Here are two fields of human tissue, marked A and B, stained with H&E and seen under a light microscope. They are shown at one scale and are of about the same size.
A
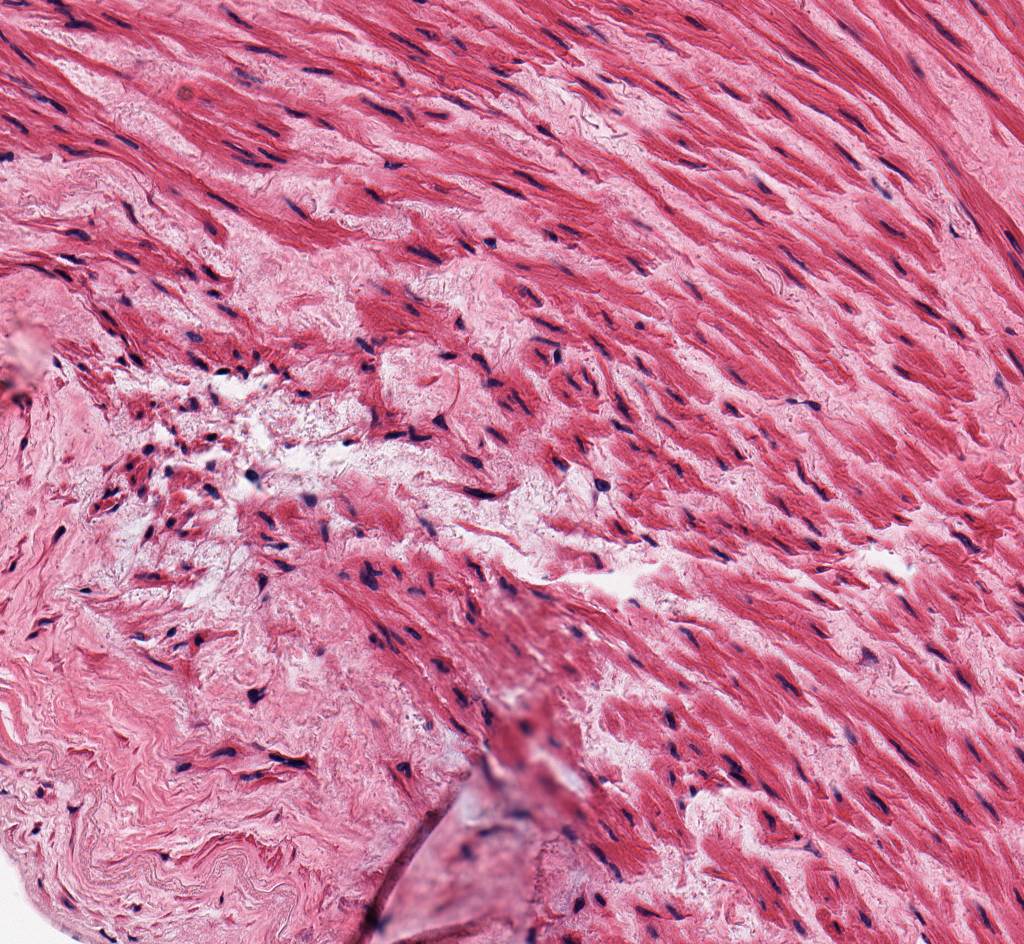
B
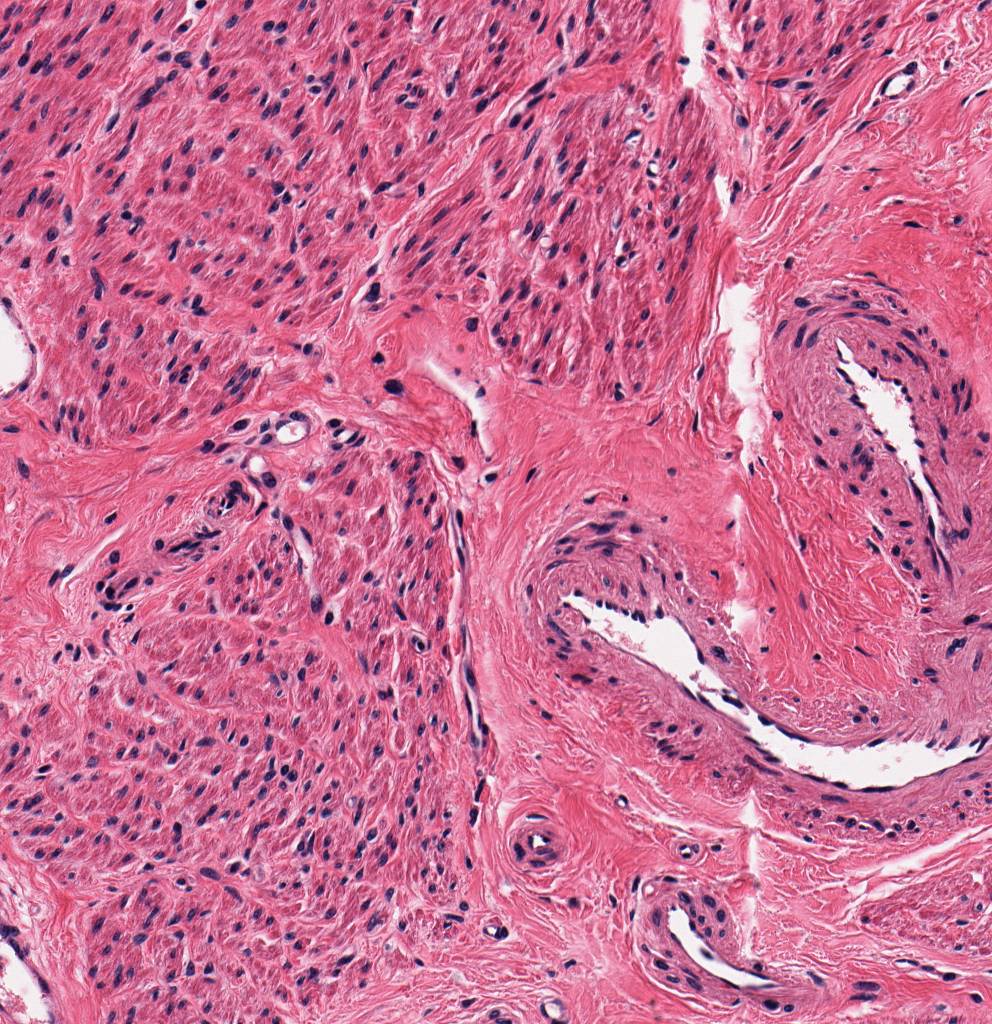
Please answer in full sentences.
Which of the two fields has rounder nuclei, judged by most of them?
Rounder nuclei lie in field B.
